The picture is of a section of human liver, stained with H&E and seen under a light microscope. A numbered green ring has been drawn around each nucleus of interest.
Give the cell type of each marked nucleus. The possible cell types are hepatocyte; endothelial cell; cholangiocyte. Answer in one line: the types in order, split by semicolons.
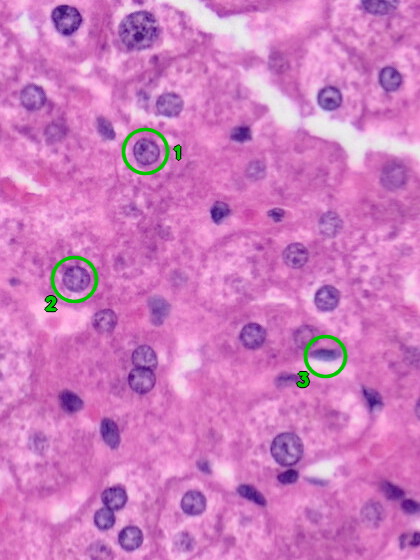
hepatocyte; hepatocyte; endothelial cell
